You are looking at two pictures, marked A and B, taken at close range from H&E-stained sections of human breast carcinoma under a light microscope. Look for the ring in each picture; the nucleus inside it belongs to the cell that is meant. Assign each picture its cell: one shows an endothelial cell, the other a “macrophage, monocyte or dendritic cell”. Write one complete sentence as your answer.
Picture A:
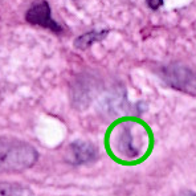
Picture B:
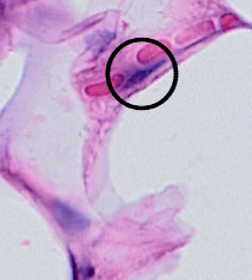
The cell in picture A is a “macrophage, monocyte or dendritic cell”, and the one in picture B is an endothelial cell.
